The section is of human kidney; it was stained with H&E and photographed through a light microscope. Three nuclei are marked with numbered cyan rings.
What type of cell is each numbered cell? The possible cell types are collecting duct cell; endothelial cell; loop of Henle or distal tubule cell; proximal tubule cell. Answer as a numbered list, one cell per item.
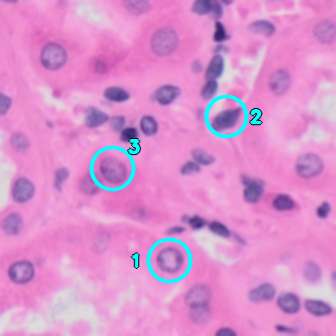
1. proximal tubule cell
2. endothelial cell
3. proximal tubule cell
